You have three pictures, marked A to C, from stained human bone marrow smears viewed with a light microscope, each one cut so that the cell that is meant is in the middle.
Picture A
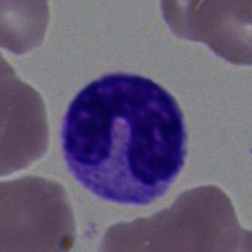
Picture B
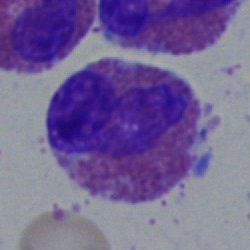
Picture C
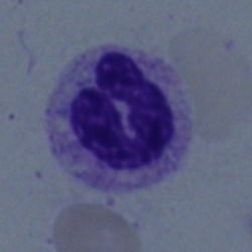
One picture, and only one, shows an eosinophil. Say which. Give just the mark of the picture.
B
